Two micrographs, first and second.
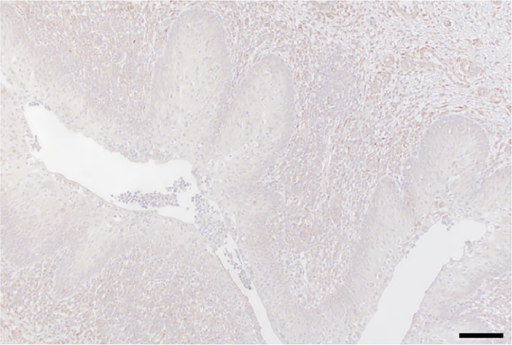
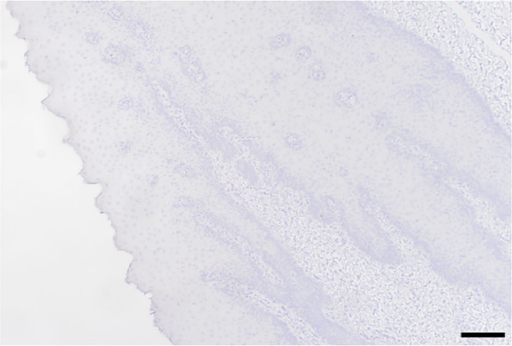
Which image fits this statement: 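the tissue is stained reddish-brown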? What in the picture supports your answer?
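Second image: the epithelium and connective tissue are only pale blue, with no reddish-brown colour. First image: epithelium and underlying connective tissue carry a faint reddish-brown tint.
Conclusion: the first image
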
